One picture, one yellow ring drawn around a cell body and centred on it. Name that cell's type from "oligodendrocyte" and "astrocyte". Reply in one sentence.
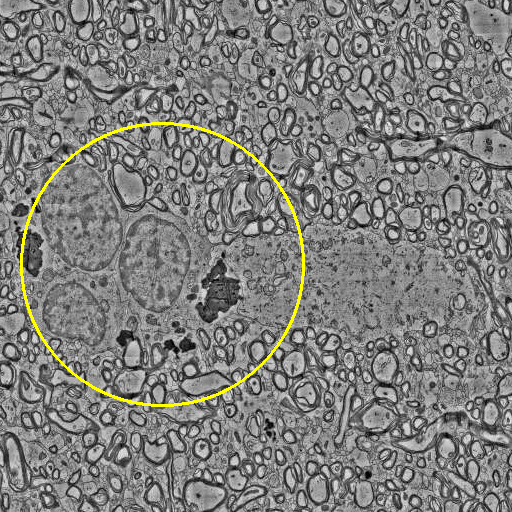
Centred in the ring is an oligodendrocyte.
